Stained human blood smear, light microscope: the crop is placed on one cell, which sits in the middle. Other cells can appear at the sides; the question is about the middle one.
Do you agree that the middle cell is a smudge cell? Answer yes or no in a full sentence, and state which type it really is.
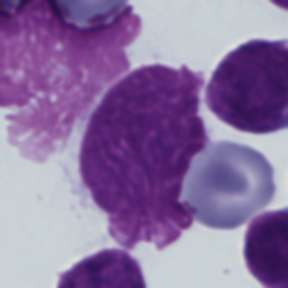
Yes, the cell of interest in the middle is a smudge cell.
